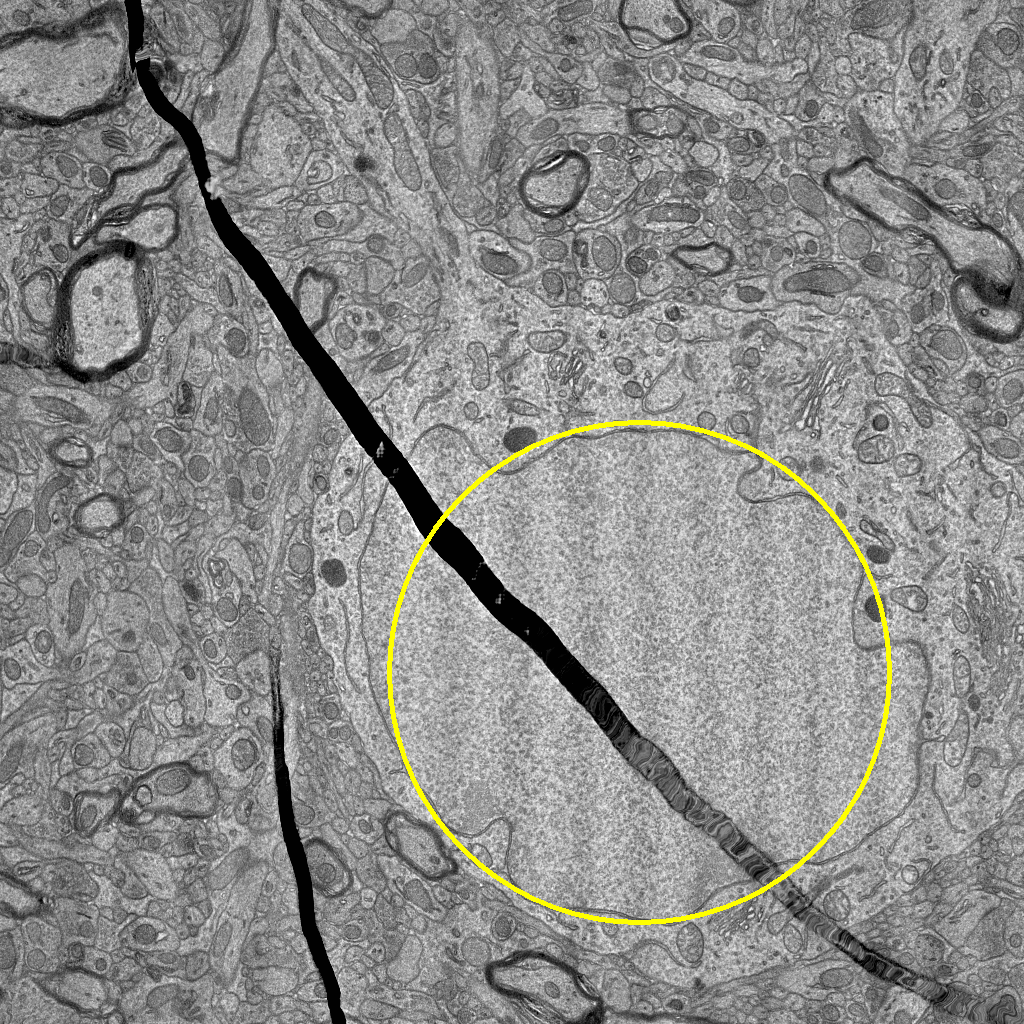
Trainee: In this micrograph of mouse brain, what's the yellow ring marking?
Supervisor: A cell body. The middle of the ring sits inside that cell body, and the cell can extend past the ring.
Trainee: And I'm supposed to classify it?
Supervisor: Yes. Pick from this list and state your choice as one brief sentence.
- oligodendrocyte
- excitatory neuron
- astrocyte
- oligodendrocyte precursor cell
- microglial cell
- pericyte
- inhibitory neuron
The cell at the ring's center is an inhibitory neuron.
